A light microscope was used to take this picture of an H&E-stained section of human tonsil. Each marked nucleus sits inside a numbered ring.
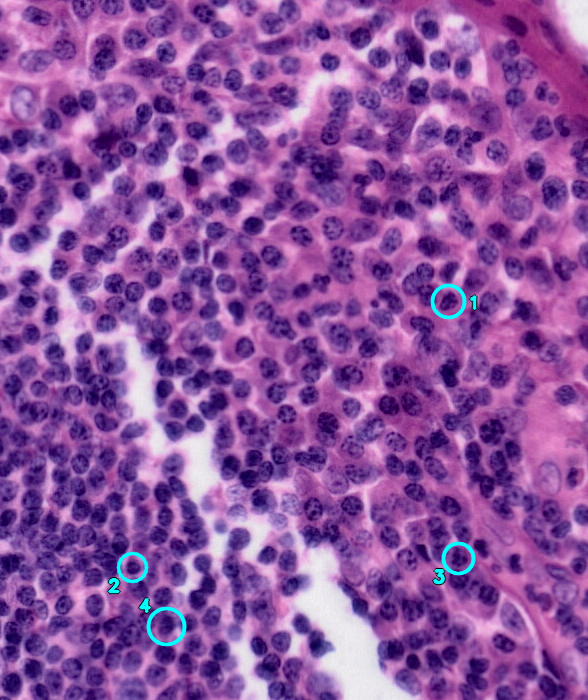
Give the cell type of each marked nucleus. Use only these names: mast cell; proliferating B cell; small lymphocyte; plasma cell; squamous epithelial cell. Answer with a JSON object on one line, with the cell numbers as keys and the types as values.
{"1": "plasma cell", "2": "small lymphocyte", "3": "plasma cell", "4": "small lymphocyte"}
